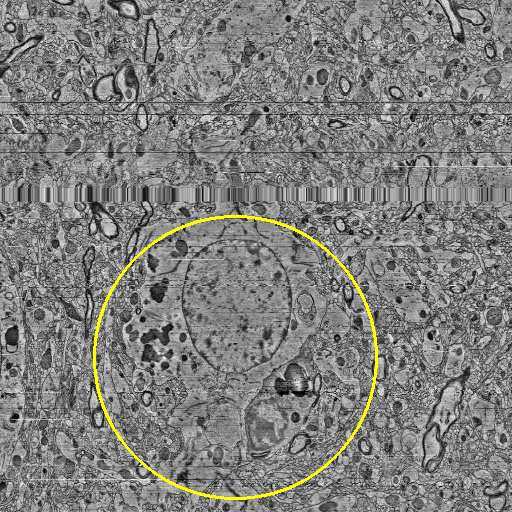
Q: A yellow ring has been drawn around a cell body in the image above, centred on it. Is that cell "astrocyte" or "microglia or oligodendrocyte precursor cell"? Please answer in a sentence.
The ring surrounds the cell body of an astrocyte.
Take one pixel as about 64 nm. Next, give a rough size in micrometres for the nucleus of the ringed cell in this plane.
In this plane the nucleus is about 9 micrometres by 7.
